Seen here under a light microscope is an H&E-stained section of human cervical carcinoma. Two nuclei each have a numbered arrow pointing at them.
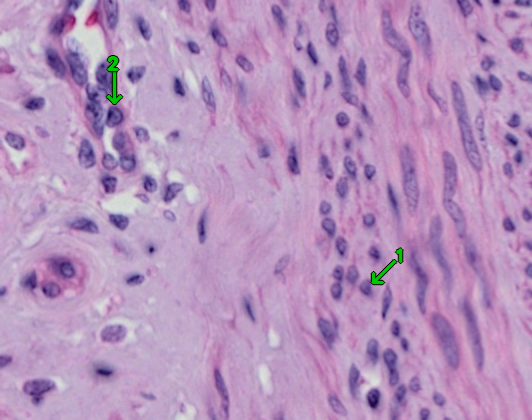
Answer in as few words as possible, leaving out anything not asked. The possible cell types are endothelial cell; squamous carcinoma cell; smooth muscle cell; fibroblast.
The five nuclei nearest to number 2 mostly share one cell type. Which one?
endothelial cell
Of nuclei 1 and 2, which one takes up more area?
2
